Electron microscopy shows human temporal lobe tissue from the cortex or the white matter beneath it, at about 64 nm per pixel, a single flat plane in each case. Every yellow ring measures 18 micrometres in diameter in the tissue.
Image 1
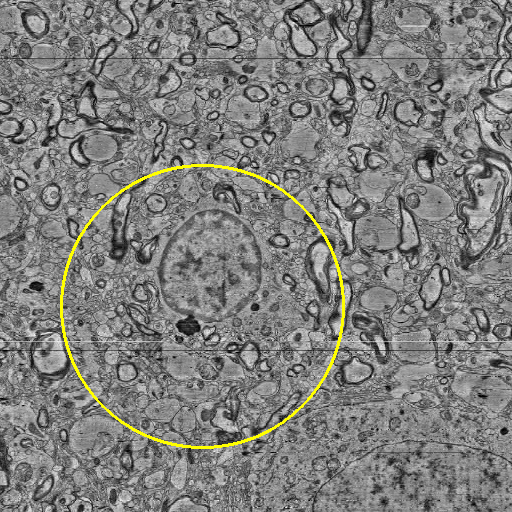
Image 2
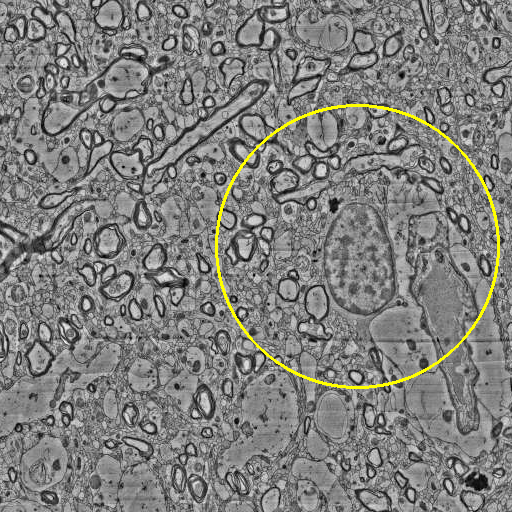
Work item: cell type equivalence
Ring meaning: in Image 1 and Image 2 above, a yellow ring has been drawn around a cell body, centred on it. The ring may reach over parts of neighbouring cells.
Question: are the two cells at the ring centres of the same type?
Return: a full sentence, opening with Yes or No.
Yes, the two centred cells are of the same type.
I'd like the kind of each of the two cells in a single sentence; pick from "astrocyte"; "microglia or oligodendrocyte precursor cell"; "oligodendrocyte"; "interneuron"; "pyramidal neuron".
Each cell, in the first picture and the second, is an oligodendrocyte.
